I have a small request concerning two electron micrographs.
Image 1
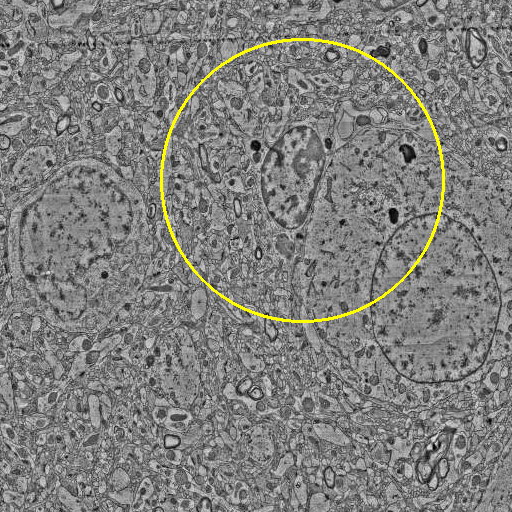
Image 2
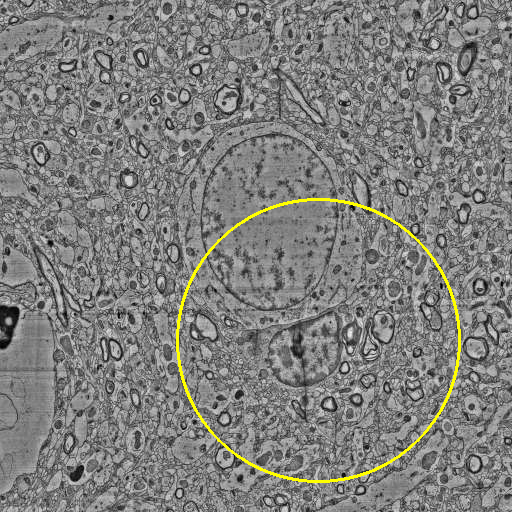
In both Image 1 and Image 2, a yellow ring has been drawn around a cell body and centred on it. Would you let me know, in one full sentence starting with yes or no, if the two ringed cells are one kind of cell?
No, the cells ringed in Image 1 and Image 2 are two kinds of cell.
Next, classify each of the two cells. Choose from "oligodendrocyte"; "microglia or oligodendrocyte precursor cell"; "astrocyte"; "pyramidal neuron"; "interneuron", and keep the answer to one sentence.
In the first picture it is a microglial cell or oligodendrocyte precursor cell; in the second it is an oligodendrocyte.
